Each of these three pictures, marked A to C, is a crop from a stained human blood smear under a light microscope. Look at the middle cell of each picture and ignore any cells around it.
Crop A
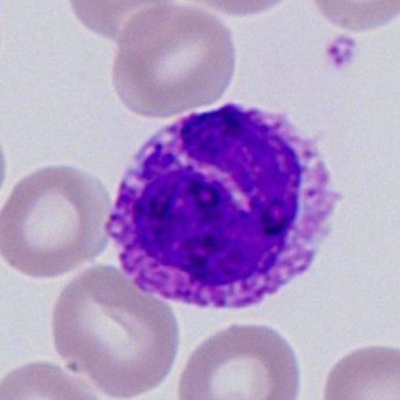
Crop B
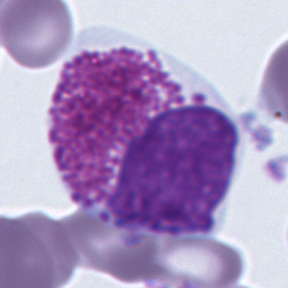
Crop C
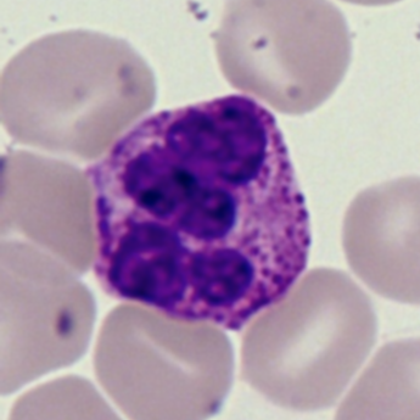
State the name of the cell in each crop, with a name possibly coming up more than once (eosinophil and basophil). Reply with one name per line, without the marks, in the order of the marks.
basophil
eosinophil
basophil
